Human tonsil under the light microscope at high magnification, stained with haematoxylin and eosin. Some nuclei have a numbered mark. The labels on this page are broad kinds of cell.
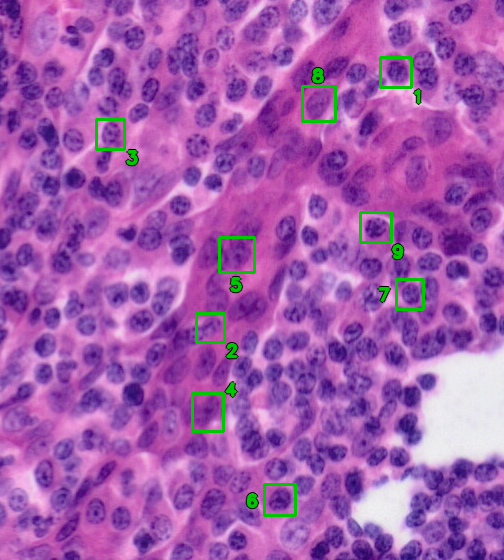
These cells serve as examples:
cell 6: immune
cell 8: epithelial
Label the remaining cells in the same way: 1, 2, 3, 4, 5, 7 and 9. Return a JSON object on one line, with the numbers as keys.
{"1": "immune", "2": "epithelial", "3": "immune", "4": "epithelial", "5": "epithelial", "7": "immune", "9": "immune"}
